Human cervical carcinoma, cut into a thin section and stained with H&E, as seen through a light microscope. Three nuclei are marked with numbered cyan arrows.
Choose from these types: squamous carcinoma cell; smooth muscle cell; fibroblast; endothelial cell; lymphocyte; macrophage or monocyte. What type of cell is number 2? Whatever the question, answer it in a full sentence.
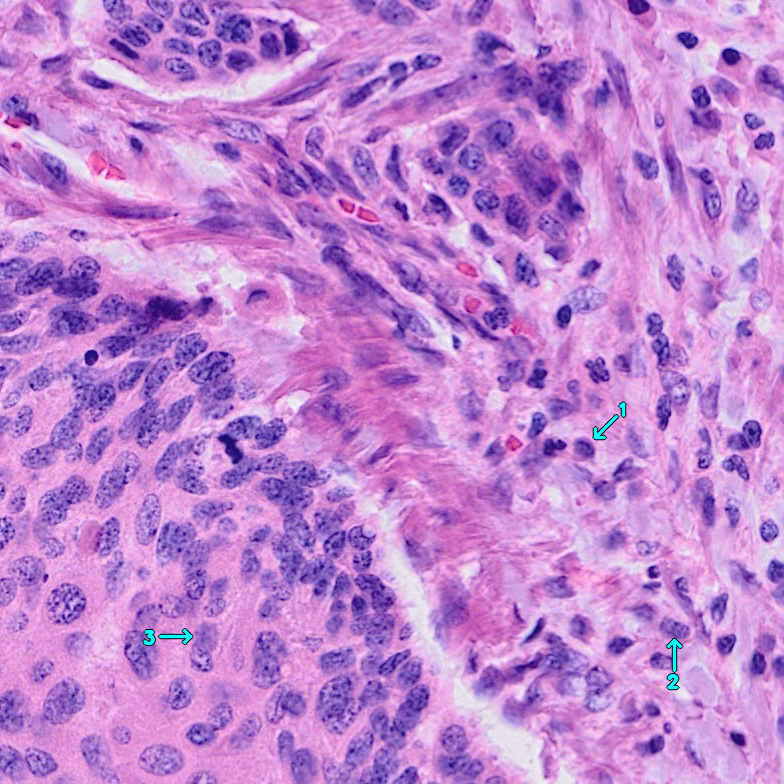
Here the cell numbered 2 is a macrophage or monocyte.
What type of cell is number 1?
The nucleus with number 1 is that of a lymphocyte.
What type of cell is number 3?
Number 3 is placed on a squamous carcinoma cell here.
